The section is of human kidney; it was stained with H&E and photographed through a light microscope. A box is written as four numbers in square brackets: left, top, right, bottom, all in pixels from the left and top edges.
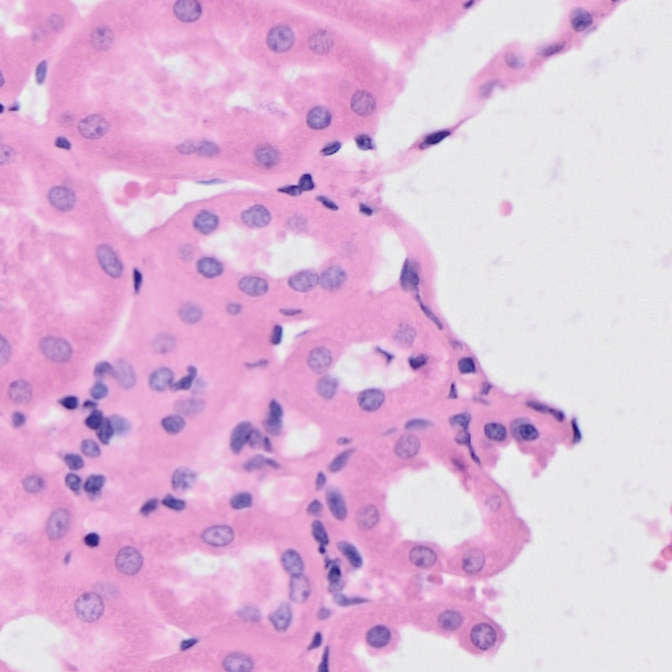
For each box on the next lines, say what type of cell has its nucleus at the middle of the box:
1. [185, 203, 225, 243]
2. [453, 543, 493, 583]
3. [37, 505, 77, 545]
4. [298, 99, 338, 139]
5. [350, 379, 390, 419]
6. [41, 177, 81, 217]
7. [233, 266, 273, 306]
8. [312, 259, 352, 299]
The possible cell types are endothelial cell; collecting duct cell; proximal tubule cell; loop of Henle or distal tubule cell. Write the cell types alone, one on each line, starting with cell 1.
loop of Henle or distal tubule cell
proximal tubule cell
proximal tubule cell
proximal tubule cell
loop of Henle or distal tubule cell
proximal tubule cell
loop of Henle or distal tubule cell
loop of Henle or distal tubule cell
